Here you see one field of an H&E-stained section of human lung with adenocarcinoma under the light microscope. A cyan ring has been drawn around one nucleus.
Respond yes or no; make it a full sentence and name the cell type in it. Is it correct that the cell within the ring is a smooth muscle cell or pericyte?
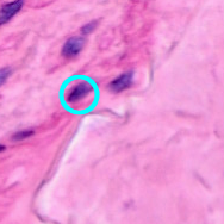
Yes, the cell within the ring is one that is classed as a smooth muscle cell or pericyte.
